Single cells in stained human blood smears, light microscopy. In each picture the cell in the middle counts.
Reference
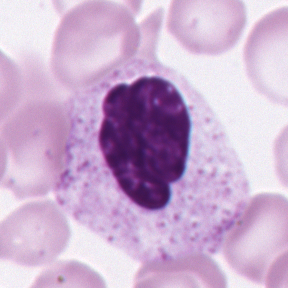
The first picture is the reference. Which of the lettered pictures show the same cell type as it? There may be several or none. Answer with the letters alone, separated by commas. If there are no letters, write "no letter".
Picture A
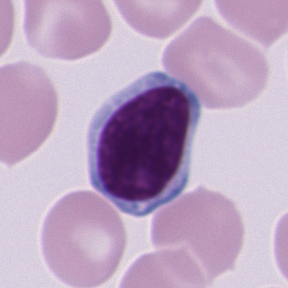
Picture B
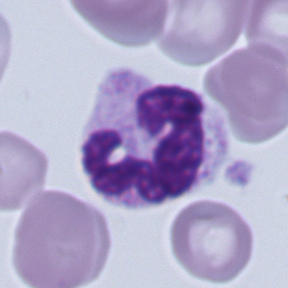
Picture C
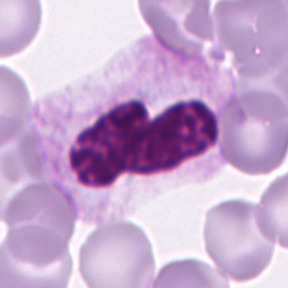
B, C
